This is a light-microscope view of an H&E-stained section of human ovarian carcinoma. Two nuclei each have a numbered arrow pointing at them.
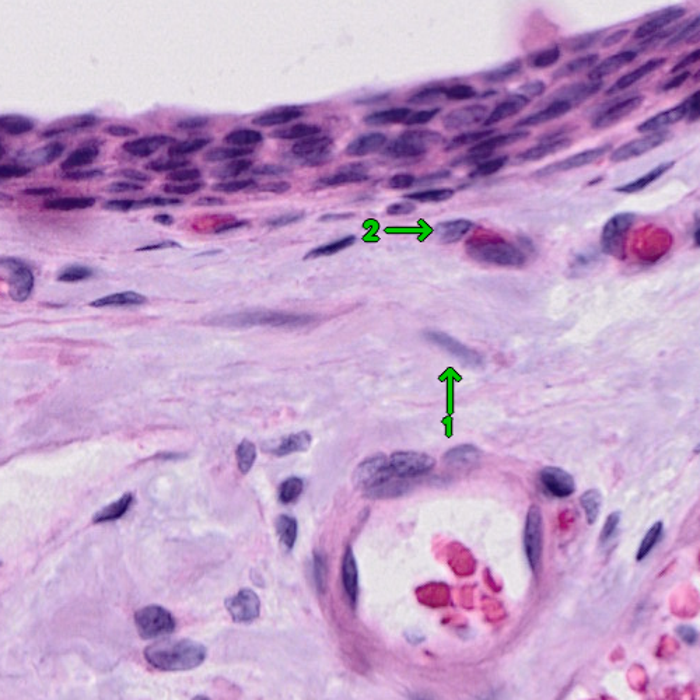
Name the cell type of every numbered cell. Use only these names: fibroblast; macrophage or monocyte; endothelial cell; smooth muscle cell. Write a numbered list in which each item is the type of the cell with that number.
1. fibroblast
2. endothelial cell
